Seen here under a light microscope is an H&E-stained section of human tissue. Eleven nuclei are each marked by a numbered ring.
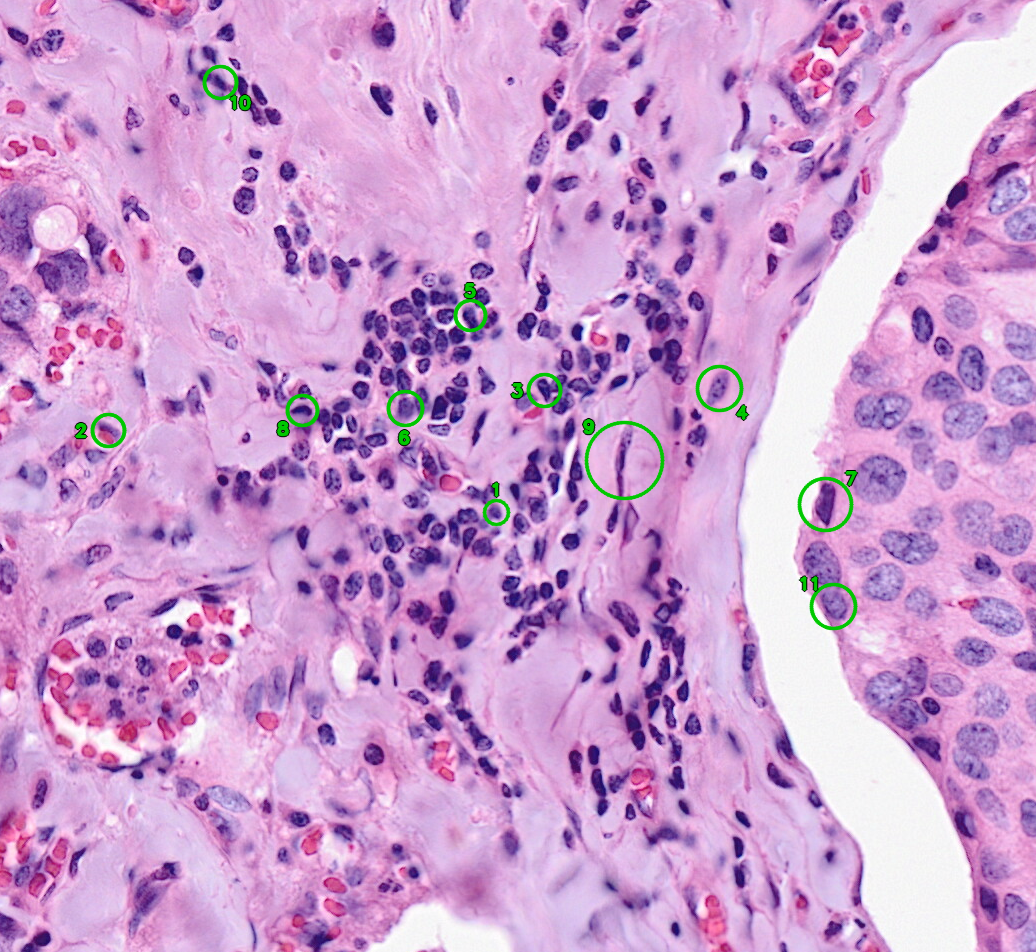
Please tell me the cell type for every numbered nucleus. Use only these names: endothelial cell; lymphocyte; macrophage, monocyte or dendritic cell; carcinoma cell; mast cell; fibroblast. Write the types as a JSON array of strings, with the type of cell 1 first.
["lymphocyte", "endothelial cell", "lymphocyte", "mast cell", "lymphocyte", "lymphocyte", "carcinoma cell", "lymphocyte", "fibroblast", "lymphocyte", "carcinoma cell"]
